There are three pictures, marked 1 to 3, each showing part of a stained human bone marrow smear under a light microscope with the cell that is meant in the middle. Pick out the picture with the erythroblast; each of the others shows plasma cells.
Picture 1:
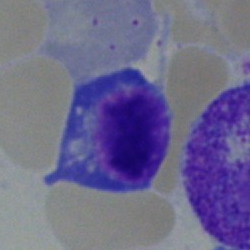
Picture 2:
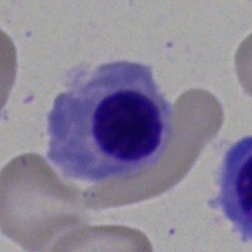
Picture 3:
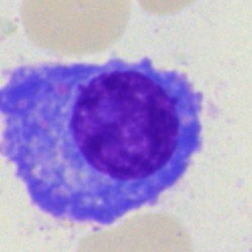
2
